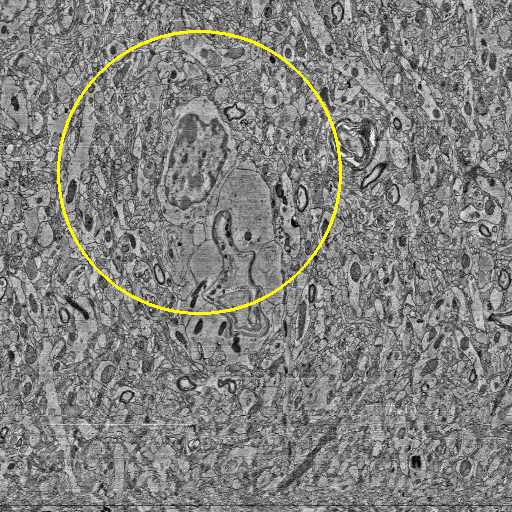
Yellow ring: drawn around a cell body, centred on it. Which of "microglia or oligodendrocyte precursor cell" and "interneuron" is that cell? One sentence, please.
That cell body is from a microglial cell or oligodendrocyte precursor cell.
